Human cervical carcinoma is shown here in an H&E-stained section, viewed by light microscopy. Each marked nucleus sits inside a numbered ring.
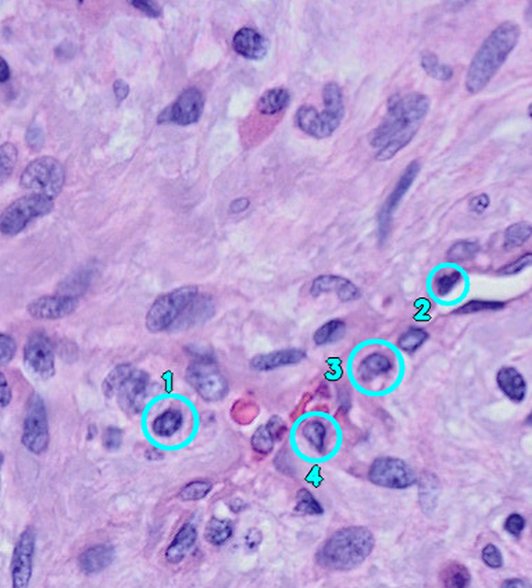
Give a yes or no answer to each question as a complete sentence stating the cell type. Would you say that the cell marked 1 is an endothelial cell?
No, an endothelial cell is not what cell 1 is; it is a lymphocyte.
